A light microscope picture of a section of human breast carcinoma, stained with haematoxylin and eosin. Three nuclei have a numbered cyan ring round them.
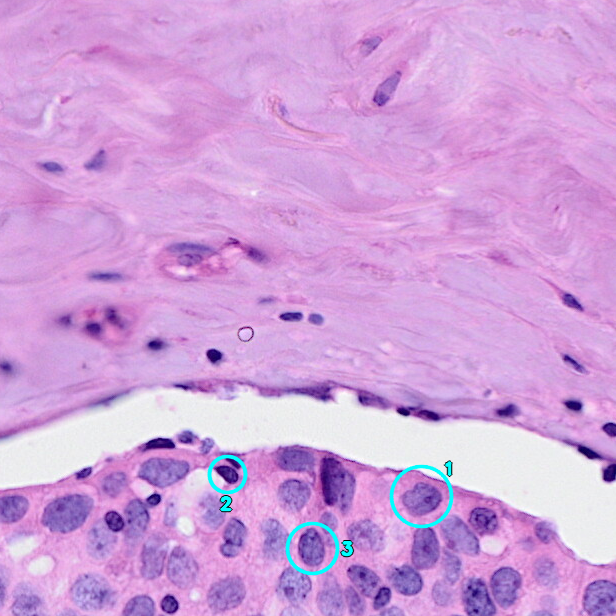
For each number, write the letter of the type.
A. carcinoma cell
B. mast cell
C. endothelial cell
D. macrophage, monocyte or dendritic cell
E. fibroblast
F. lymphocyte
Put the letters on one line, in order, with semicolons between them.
A; F; A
